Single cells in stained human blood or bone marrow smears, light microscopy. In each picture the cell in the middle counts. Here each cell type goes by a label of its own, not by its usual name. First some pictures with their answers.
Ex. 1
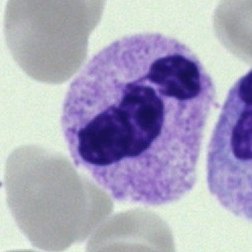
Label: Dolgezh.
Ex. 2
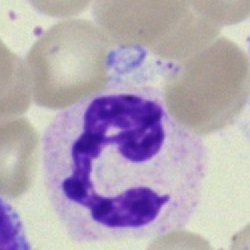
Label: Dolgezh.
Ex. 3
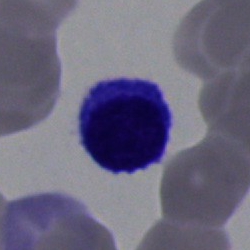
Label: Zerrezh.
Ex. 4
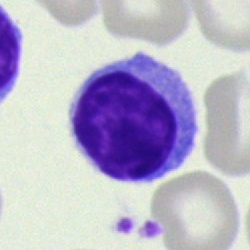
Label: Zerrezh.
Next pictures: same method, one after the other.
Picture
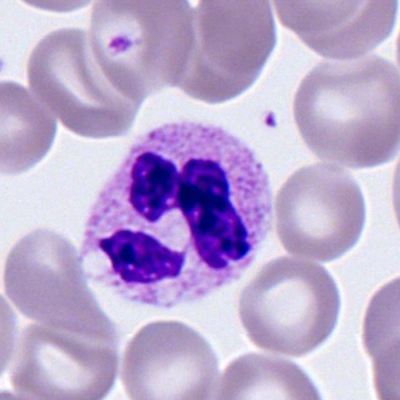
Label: Dolgezh.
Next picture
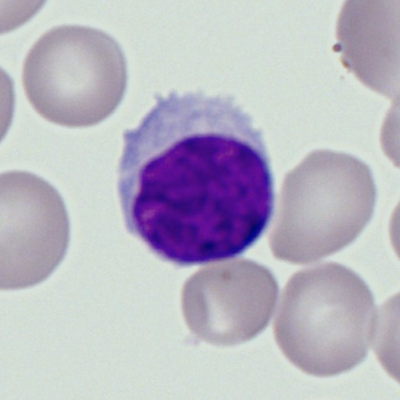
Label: Zerrezh.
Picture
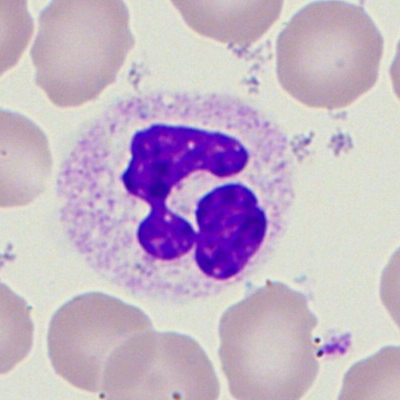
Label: Dolgezh.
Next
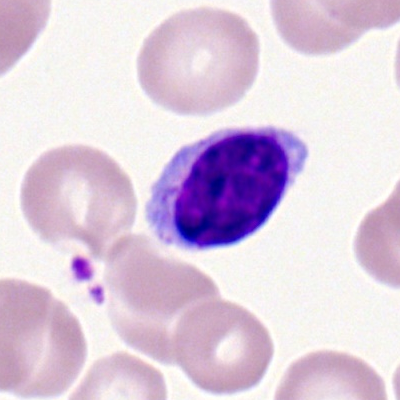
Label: Zerrezh.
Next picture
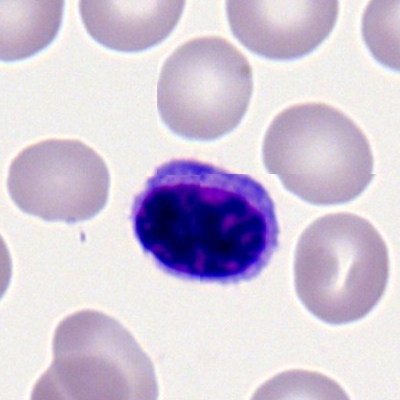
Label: Zerrezh.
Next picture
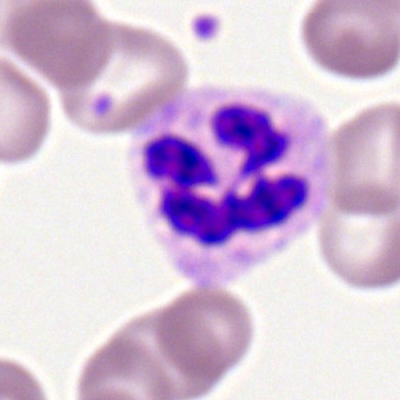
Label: Dolgezh.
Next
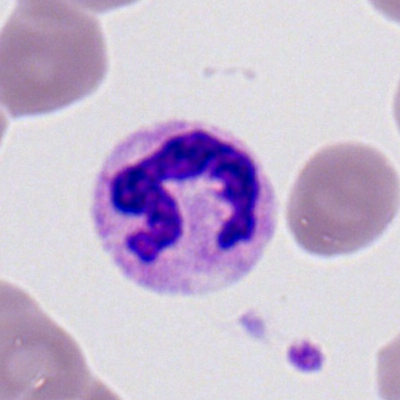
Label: Dolgezh.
